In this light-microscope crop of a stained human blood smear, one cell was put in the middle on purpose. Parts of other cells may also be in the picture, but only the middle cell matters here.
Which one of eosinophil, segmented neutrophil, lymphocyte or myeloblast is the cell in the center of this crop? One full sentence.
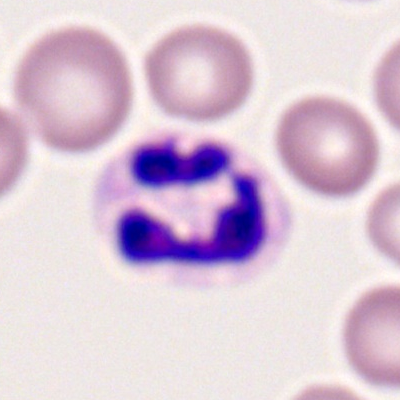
At the center of the crop sits a segmented neutrophil.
